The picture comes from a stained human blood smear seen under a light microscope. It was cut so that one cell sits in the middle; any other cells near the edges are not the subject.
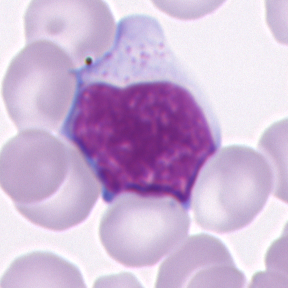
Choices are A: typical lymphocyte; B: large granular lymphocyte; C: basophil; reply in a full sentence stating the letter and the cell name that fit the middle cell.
At the centre of the crop lies a large granular lymphocyte, which makes option B correct.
